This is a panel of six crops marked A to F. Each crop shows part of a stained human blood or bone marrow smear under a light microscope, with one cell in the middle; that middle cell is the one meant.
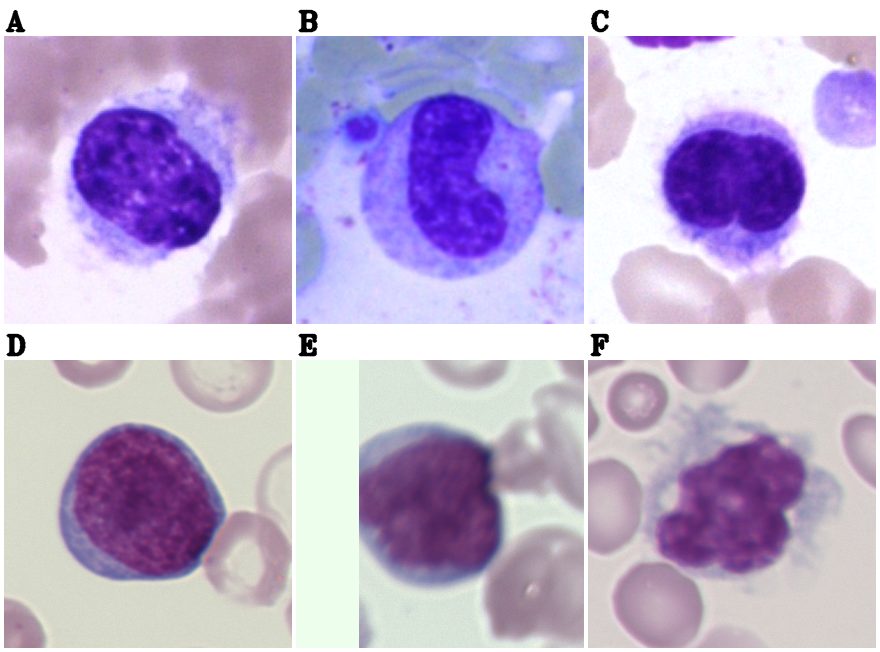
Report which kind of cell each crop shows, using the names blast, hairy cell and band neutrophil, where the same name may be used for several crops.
A: hairy cell
B: band neutrophil
C: hairy cell
D: blast
E: blast
F: hairy cell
